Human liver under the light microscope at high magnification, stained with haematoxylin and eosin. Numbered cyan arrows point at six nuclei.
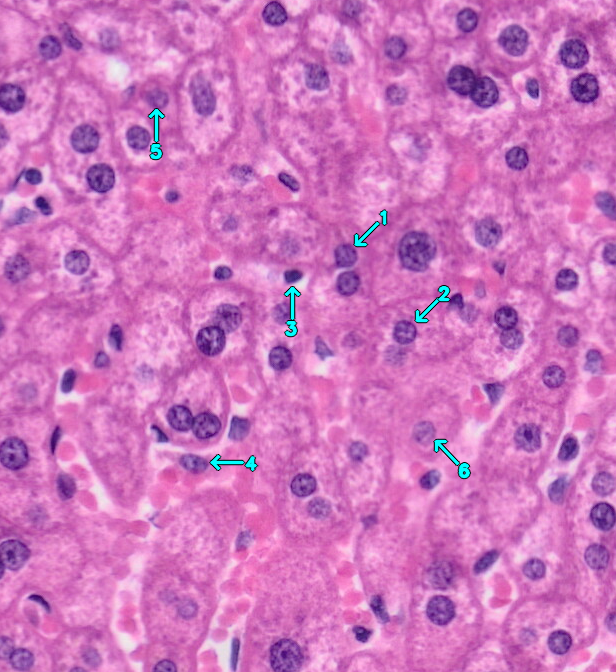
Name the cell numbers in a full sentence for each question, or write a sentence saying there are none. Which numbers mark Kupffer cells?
Cell 4 is a Kupffer cell, and it is the only one.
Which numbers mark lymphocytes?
Only one of the numbered nuclei, number 3, belongs to a lymphocyte.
